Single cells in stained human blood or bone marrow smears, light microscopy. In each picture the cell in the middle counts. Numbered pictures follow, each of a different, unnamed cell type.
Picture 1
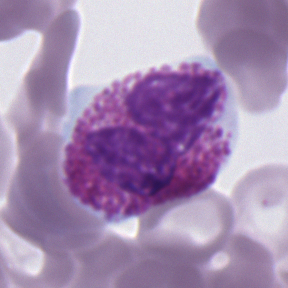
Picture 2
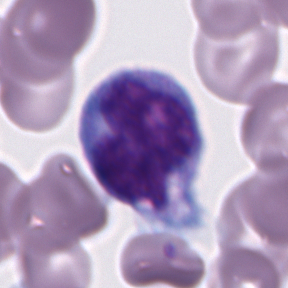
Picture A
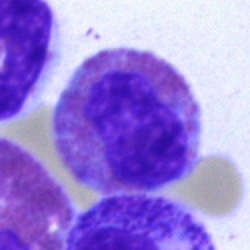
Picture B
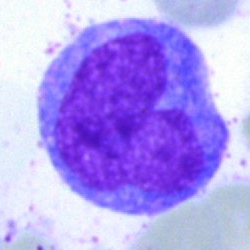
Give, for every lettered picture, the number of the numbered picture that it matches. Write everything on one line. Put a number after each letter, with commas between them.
A 1, B 2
